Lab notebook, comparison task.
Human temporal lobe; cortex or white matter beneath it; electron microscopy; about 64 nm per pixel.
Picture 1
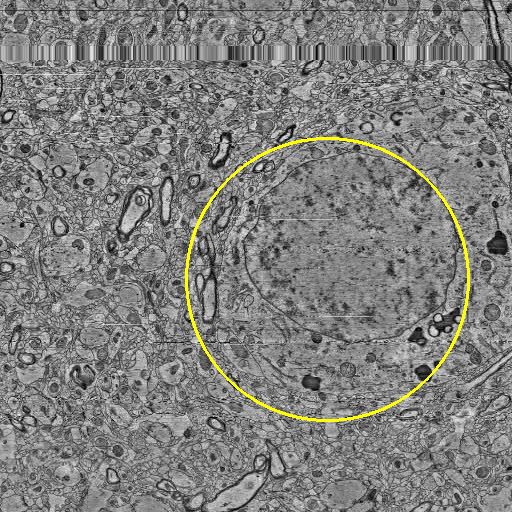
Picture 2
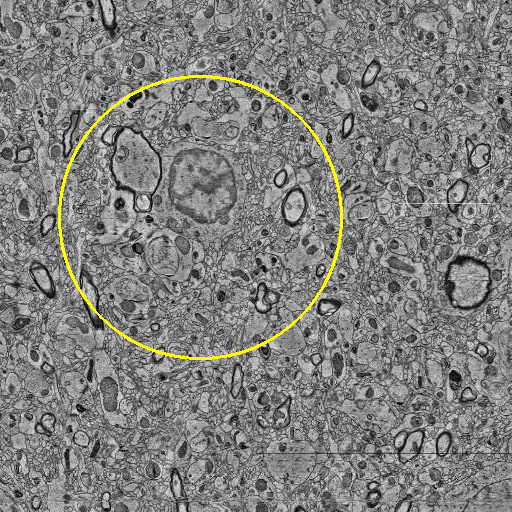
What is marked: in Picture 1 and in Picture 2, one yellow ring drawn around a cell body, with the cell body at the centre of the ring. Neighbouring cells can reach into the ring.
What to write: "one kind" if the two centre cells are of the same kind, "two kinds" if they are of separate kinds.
two kinds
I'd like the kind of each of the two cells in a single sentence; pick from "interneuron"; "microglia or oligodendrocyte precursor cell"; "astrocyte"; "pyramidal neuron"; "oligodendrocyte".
The first ring marks a pyramidal neuron, and the second ring marks an oligodendrocyte.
